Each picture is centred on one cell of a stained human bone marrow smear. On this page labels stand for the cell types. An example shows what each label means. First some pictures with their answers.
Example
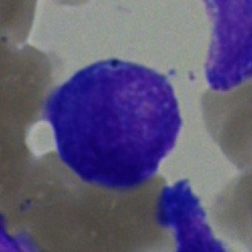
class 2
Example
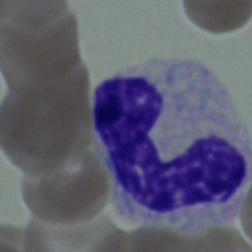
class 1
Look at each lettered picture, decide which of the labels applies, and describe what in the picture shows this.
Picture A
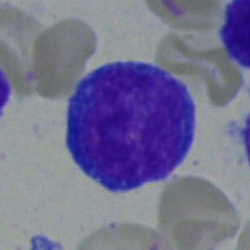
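class 2. Evidence: The cytoplasm forms only a thin rim around the nucleus.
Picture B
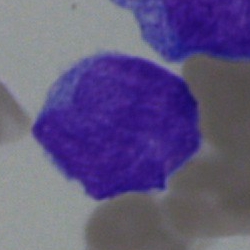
class 2. Evidence: The nucleus fills almost the whole cell.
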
